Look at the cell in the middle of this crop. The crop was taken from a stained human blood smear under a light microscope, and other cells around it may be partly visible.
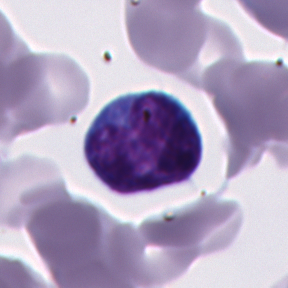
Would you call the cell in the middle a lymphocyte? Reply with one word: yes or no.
yes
